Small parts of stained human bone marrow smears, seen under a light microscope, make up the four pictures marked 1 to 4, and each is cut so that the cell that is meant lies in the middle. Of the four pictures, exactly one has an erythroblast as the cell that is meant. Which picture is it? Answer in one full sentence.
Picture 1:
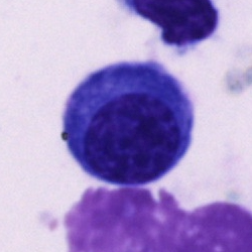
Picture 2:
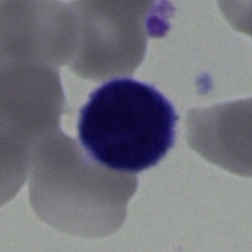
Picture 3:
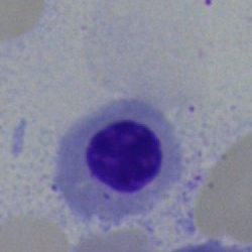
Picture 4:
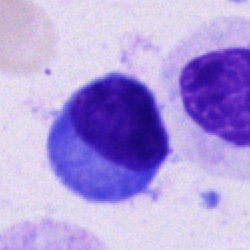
The erythroblast is the one in picture 3.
